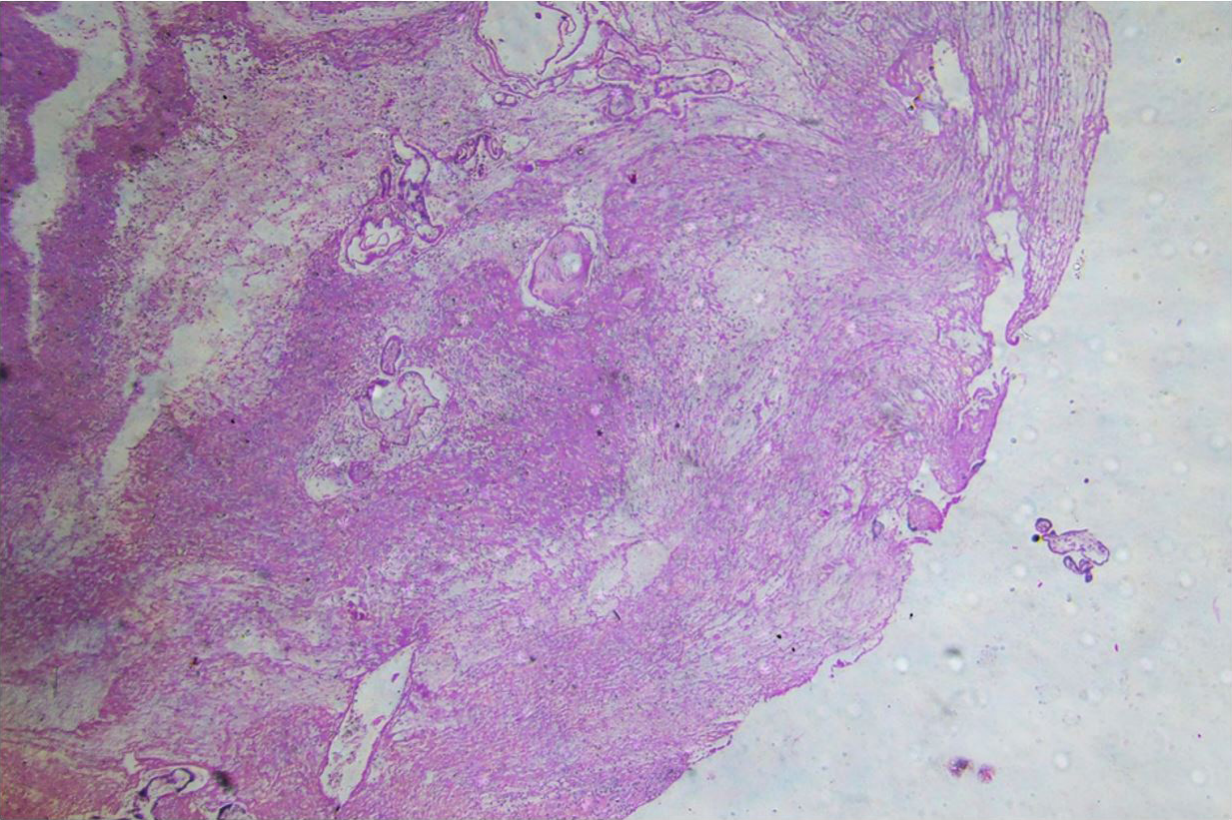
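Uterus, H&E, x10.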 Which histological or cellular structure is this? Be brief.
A: Chorionic villi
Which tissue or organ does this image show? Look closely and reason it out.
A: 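Myometrium. Most of the field is dense pink tissue made of interlacing bundles of spindle-shaped fibres. The fibres run in sweeping, streaming bundles across the section.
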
